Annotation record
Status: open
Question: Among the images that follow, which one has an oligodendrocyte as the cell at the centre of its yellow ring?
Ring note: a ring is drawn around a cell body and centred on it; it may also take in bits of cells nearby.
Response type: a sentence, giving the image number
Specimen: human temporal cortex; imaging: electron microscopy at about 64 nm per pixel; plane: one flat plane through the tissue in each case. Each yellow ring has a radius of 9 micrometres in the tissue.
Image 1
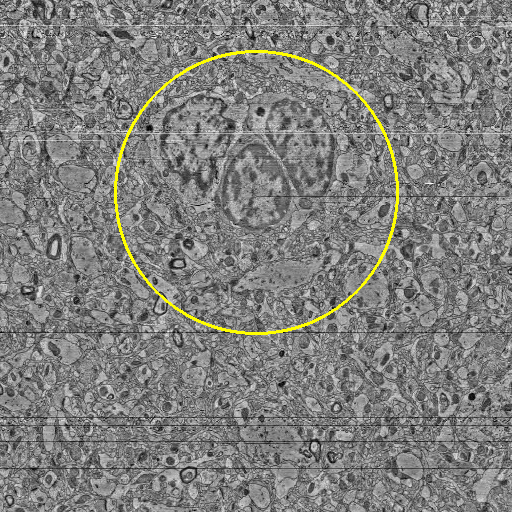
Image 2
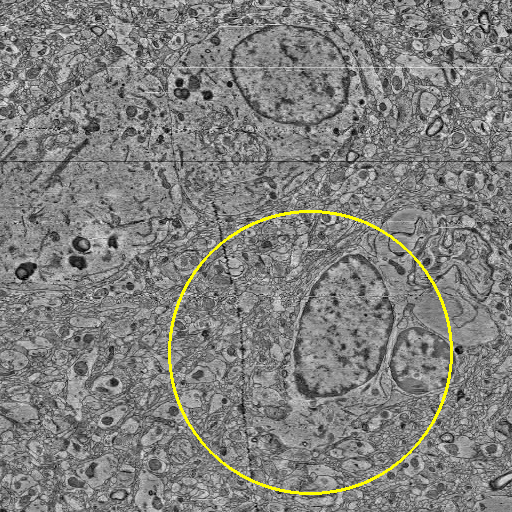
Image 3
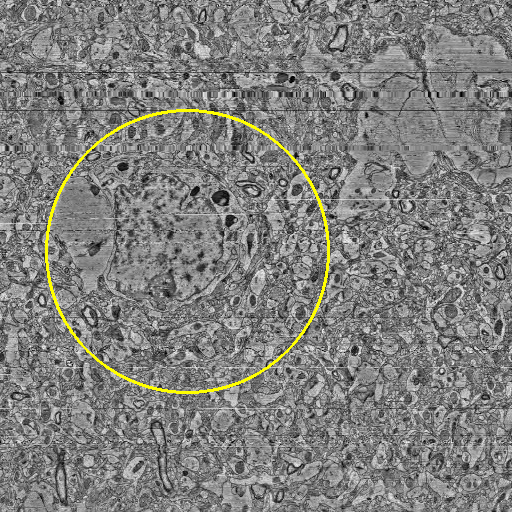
Image 1 shows it at the centre of its ring.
